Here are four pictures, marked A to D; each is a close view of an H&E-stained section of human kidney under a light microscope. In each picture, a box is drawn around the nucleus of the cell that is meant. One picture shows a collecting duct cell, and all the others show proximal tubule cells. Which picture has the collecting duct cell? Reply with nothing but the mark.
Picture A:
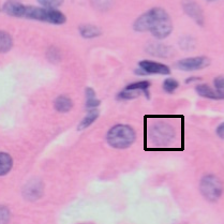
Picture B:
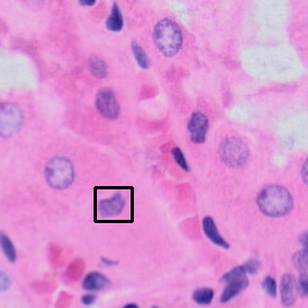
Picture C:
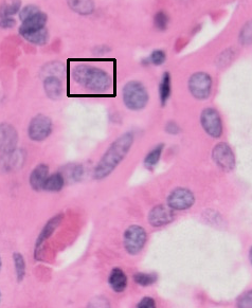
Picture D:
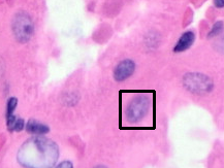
C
